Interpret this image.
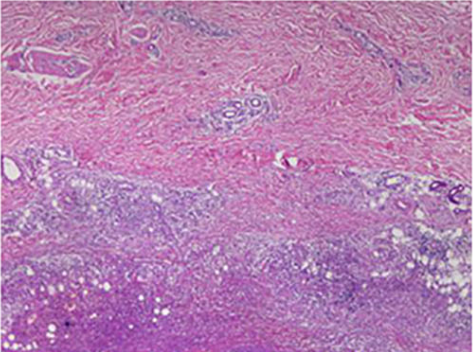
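This is a low-power view of deep skin, with pink, fibrous dermis in the upper part and small round clear spaces of fat lower down. Small blood vessels and adnexal structures are scattered in the upper fibrous tissue. Across the middle and lower part run broad bands packed with small, dark purple nuclei, a dense infiltrate of inflammatory cells. At the bottom, a smudgy, deeply purple zone with lost tissue detail borders the infiltrate. The picture fits necrotic lesions in the deep dermis and fat surrounded by lymphocyte infiltration.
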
